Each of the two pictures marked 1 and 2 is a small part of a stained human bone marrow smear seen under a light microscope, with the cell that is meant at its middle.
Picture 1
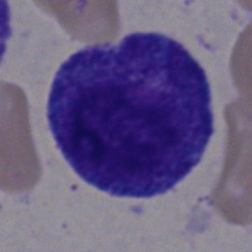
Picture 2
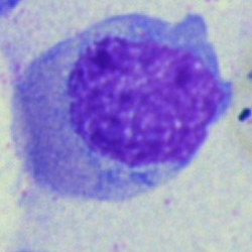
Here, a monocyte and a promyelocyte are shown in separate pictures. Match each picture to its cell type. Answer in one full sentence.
It is picture 1 that shows a promyelocyte, and picture 2 that shows a monocyte.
